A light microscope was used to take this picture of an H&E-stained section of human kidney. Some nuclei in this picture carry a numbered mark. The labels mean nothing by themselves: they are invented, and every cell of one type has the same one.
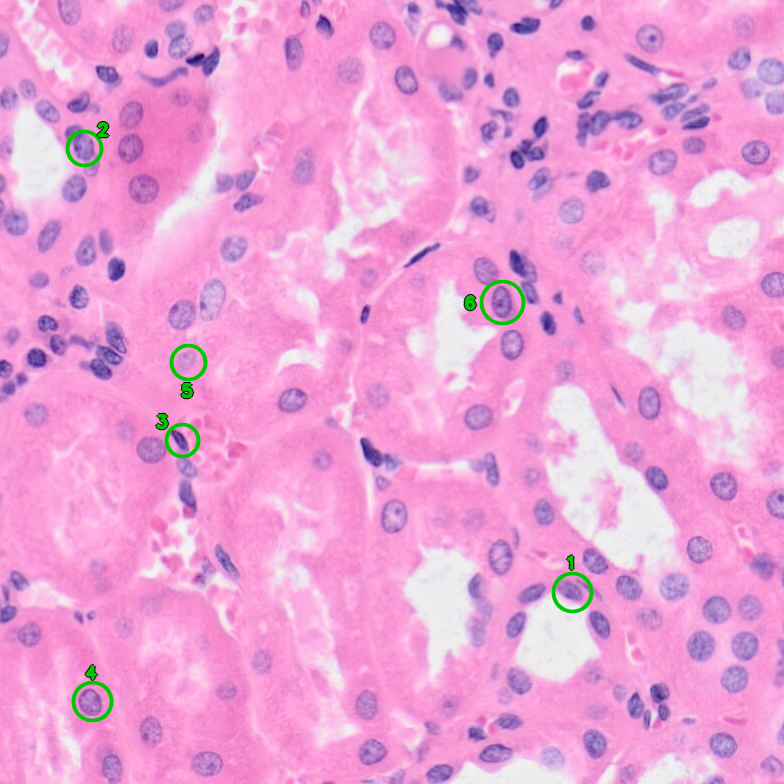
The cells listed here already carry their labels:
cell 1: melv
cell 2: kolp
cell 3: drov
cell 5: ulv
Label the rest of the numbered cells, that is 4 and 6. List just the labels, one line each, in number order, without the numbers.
ulv
ulv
